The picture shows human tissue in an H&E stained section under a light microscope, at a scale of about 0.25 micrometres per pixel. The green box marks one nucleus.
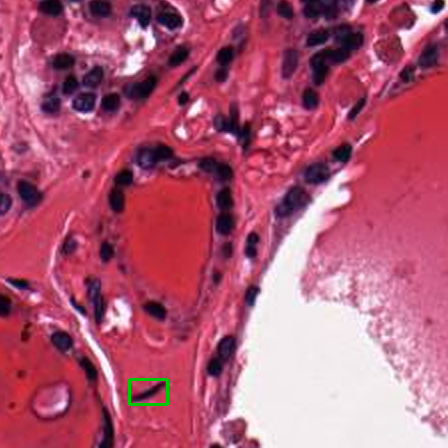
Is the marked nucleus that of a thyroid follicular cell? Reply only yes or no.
no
